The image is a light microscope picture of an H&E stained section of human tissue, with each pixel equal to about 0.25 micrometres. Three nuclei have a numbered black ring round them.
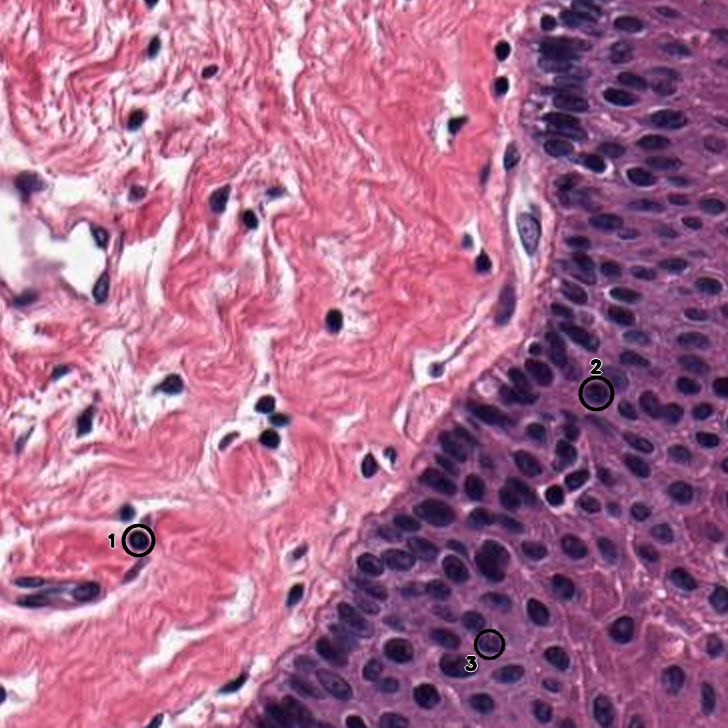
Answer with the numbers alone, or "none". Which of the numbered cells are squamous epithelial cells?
2, 3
